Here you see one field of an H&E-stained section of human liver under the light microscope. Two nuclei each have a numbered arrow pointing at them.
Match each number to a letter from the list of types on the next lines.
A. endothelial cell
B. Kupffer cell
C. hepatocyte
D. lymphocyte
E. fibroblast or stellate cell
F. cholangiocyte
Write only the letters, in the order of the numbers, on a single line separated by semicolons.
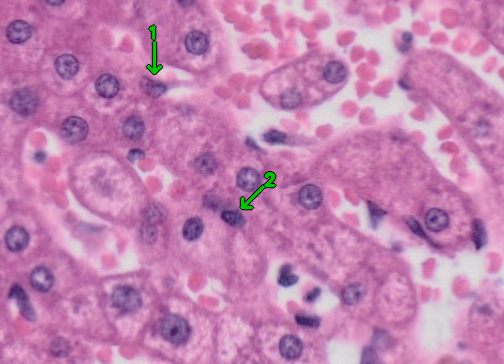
B; E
